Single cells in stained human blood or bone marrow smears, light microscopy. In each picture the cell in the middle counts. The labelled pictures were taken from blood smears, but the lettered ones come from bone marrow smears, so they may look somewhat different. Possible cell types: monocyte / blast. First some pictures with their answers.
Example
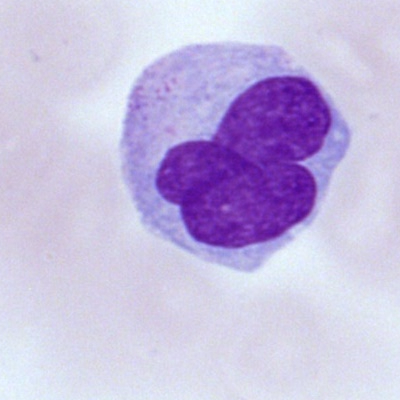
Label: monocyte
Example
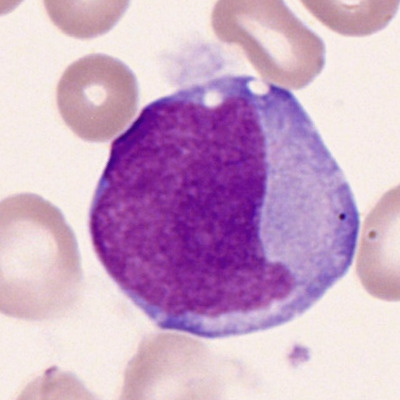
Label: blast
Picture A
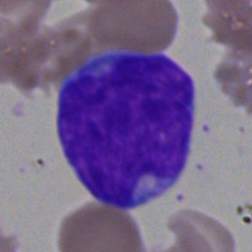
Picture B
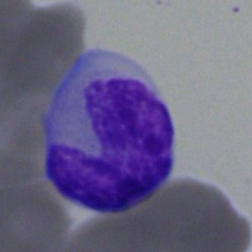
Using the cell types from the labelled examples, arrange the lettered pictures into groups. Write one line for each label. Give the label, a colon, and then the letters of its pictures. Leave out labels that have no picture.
monocyte: B
blast: A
